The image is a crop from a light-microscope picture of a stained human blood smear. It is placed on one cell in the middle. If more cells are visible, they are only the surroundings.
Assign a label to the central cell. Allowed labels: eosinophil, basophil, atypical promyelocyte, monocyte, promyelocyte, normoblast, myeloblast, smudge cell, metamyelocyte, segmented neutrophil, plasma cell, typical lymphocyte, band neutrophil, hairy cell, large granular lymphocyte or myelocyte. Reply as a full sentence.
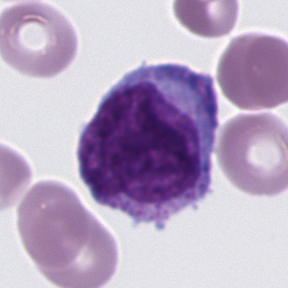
The crop's centre is taken up by an atypical promyelocyte.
